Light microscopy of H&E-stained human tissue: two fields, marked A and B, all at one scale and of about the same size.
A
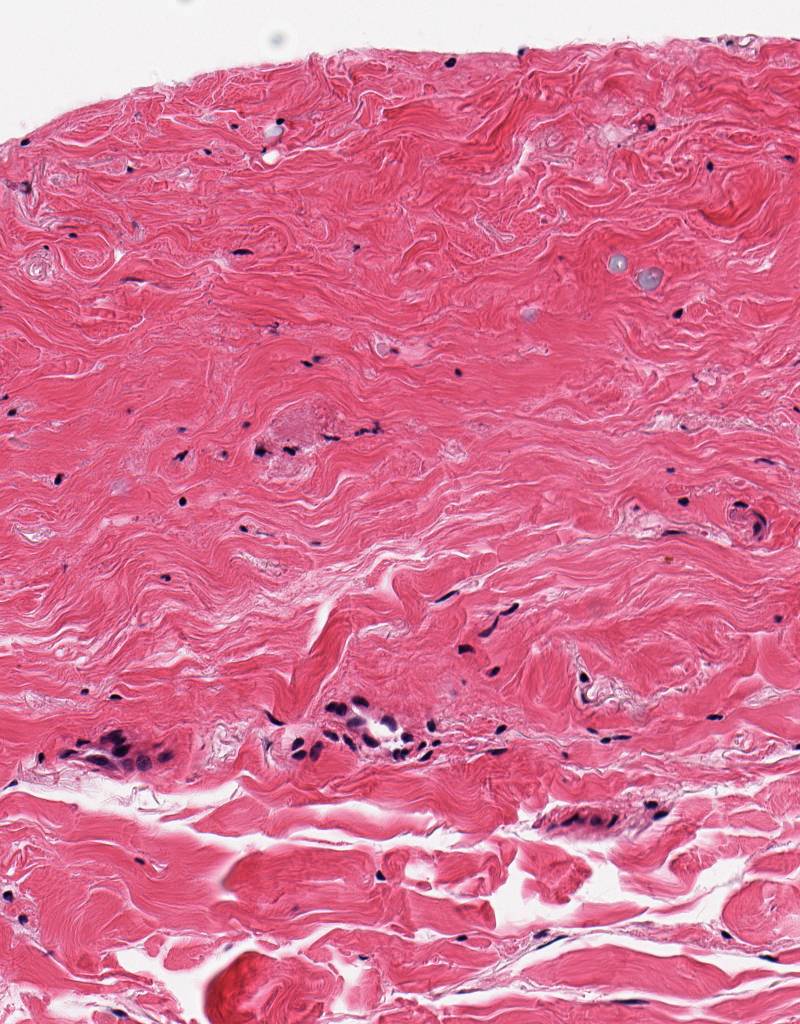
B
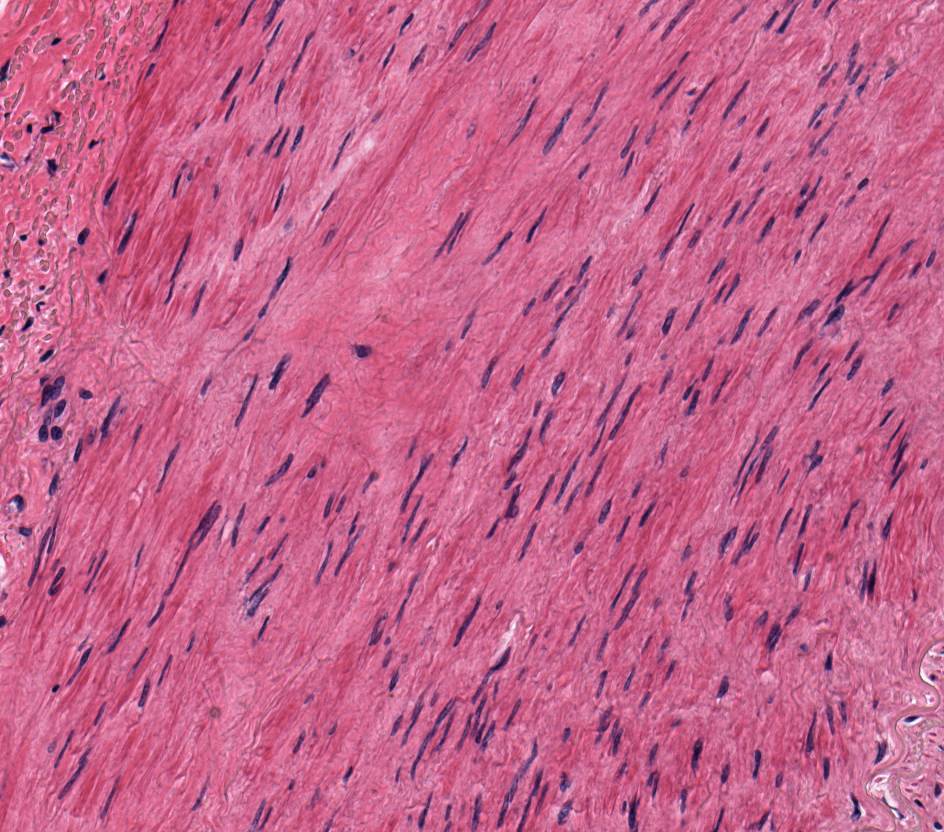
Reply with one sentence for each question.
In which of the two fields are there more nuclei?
It is field B that has more nuclei in it.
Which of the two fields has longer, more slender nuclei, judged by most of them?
On the whole the nuclei of field B are more drawn out than those of field A.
